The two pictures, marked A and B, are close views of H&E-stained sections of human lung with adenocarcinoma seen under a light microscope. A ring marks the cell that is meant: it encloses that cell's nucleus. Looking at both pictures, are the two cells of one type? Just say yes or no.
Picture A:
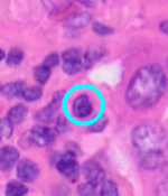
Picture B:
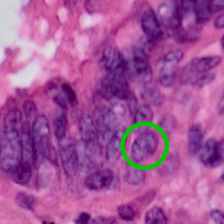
no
